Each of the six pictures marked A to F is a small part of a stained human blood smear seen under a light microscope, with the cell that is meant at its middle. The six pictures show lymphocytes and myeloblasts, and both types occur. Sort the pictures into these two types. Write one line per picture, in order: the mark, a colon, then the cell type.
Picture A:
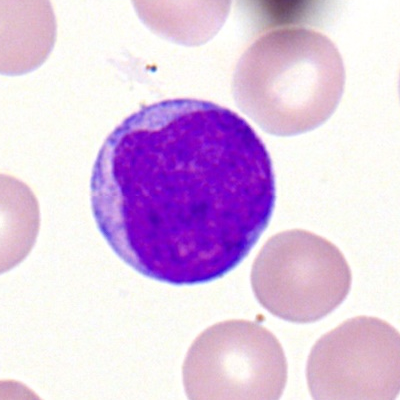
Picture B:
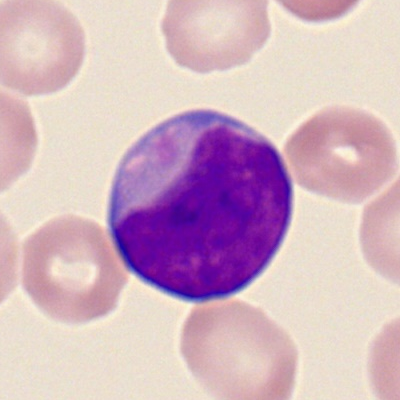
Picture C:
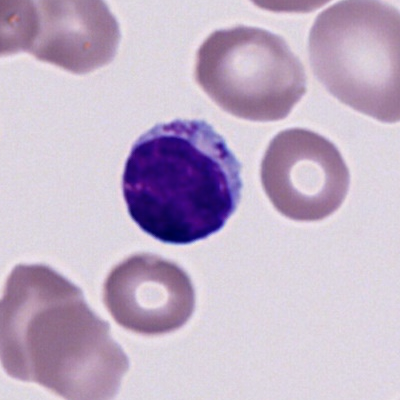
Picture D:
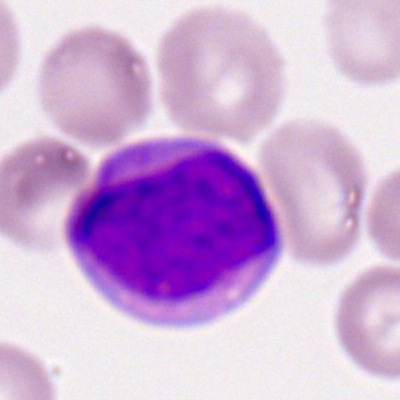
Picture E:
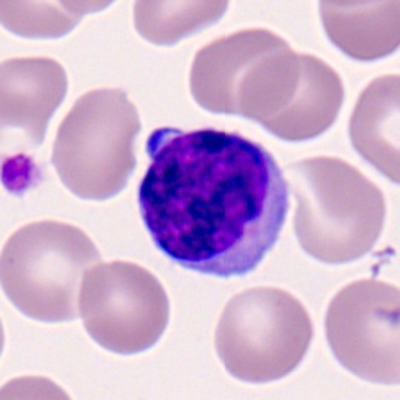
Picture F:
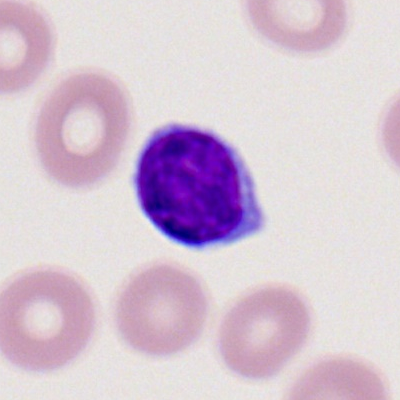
A: myeloblast
B: myeloblast
C: lymphocyte
D: myeloblast
E: lymphocyte
F: lymphocyte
